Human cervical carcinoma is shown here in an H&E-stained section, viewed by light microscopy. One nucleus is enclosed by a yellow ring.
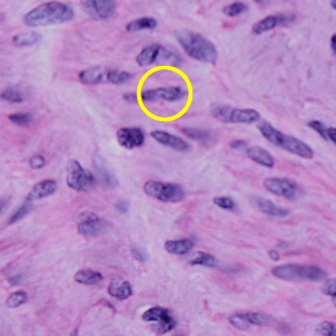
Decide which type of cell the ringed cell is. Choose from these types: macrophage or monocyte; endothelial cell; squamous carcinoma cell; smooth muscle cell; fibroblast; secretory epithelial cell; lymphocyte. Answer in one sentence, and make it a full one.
By its classification, the ringed cell is a smooth muscle cell.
